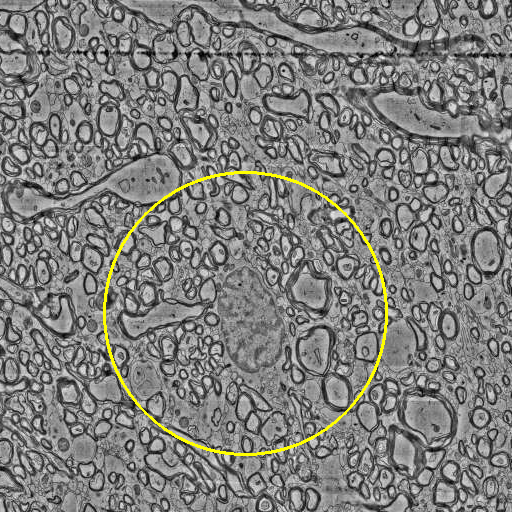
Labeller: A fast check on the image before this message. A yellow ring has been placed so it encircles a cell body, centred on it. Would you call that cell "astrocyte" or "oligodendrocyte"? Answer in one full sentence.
In this image, an oligodendrocyte is the cell on which the yellow ring is centred.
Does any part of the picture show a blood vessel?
No, none shows.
